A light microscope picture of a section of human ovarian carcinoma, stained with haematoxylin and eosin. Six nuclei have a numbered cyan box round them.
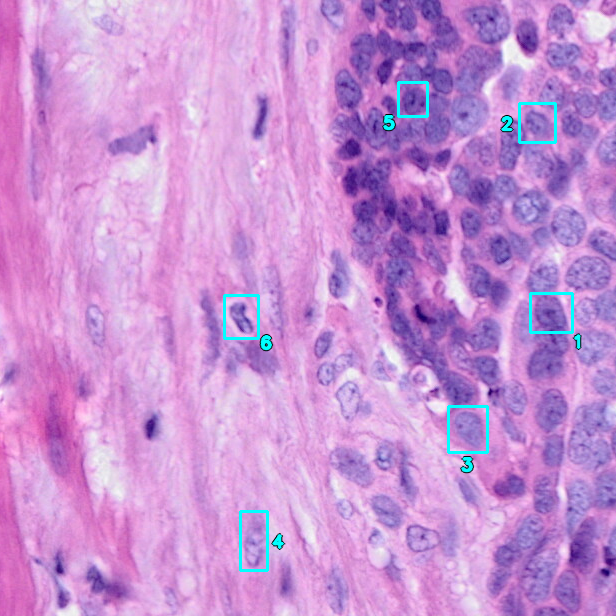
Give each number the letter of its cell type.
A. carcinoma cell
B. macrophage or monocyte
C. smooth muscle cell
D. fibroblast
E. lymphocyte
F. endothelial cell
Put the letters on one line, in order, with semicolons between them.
A; A; A; D; A; E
